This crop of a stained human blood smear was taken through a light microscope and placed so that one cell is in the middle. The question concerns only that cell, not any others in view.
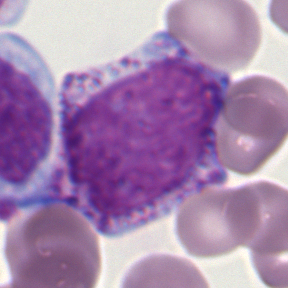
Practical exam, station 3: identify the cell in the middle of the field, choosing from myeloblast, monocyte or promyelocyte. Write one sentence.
At the crop's centre, the cell is a promyelocyte.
